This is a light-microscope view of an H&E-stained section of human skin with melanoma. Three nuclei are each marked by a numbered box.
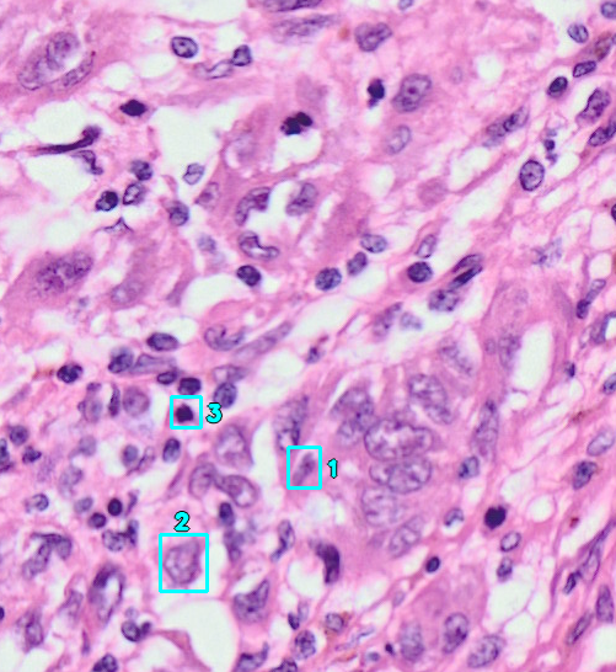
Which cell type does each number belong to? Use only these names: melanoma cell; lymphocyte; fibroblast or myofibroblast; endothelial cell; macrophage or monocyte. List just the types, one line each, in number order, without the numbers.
melanoma cell
melanoma cell
lymphocyte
